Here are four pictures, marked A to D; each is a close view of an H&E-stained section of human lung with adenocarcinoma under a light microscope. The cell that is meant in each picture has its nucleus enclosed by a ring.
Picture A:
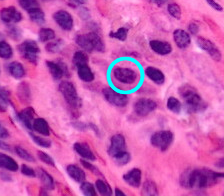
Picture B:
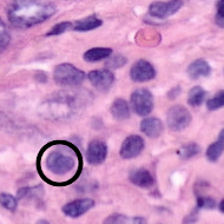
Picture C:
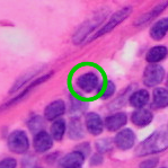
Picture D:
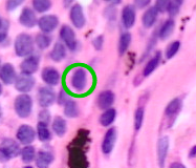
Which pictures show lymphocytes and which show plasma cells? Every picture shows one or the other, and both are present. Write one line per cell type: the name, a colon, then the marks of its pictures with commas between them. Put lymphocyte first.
lymphocyte: B, C, D
plasma cell: A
